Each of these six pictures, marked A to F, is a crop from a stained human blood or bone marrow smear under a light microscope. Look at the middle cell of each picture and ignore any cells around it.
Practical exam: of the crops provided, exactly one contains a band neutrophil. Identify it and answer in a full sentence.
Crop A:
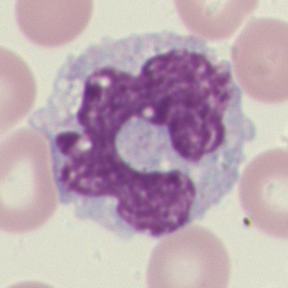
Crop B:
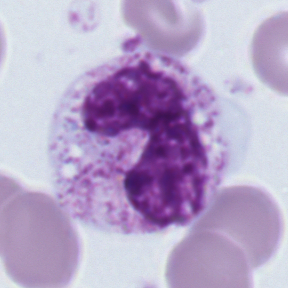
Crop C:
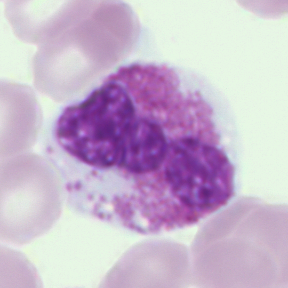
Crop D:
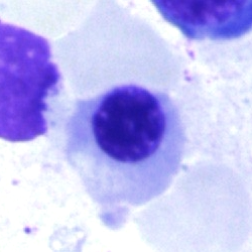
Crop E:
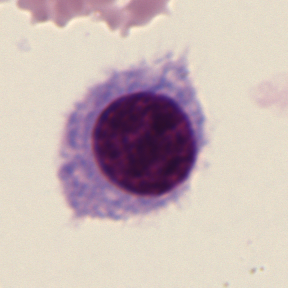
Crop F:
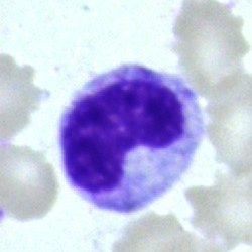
So the crop with a band neutrophil at its center is crop B.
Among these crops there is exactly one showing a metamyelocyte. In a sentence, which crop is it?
The cell identified as a metamyelocyte is the one in crop F.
